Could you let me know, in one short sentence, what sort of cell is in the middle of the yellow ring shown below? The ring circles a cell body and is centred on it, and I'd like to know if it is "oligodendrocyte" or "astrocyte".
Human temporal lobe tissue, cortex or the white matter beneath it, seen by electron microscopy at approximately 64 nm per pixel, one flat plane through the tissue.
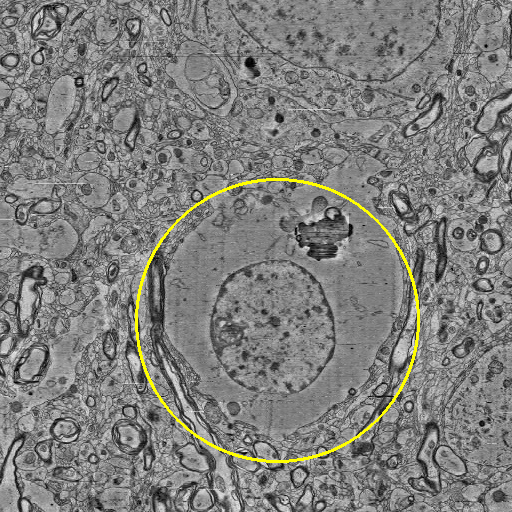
The ring circles the cell body of an astrocyte.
